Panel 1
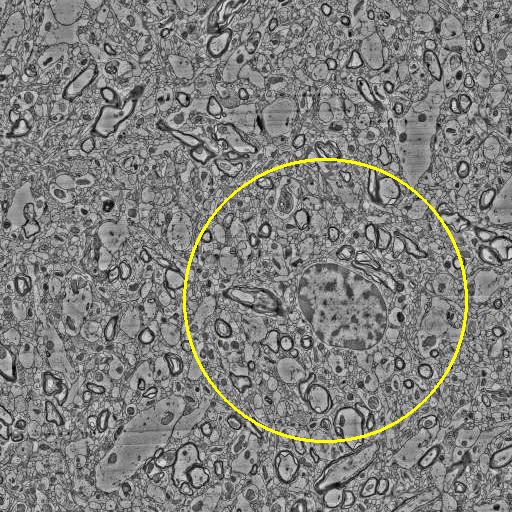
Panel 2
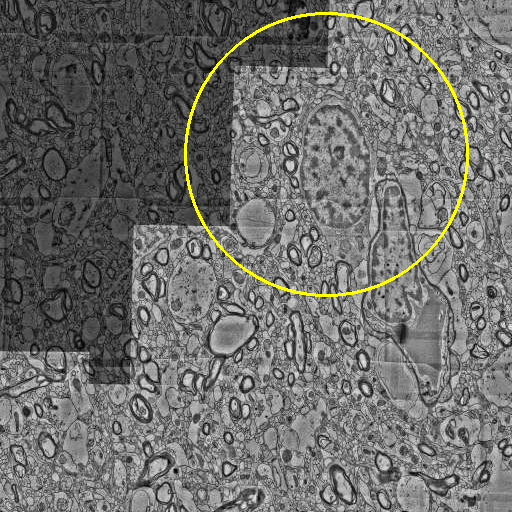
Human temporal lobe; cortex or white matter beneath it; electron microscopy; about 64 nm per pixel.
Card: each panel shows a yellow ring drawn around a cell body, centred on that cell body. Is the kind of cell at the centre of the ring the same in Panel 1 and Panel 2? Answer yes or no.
no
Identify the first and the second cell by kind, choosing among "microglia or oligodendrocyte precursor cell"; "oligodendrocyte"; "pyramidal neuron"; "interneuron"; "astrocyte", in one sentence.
The one in the first picture is a microglial cell or oligodendrocyte precursor cell, while the one in the second is an oligodendrocyte.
